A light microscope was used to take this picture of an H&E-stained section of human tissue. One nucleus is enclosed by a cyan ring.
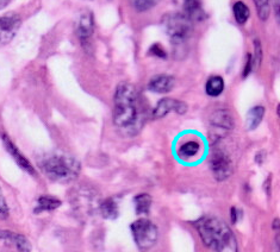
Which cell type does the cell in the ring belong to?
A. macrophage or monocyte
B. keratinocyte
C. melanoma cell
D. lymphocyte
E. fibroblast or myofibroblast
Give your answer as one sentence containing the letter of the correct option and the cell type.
The accurate option is D, with the cell in the ring being a lymphocyte.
